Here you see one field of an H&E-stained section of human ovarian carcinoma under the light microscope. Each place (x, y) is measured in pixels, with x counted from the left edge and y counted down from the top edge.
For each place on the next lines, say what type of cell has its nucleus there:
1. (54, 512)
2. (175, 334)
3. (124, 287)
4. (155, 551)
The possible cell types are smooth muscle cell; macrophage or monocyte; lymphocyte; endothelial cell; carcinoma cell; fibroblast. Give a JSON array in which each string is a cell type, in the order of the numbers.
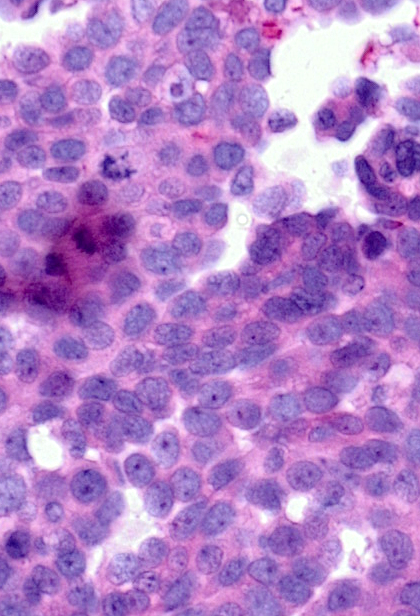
["macrophage or monocyte", "carcinoma cell", "carcinoma cell", "carcinoma cell"]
